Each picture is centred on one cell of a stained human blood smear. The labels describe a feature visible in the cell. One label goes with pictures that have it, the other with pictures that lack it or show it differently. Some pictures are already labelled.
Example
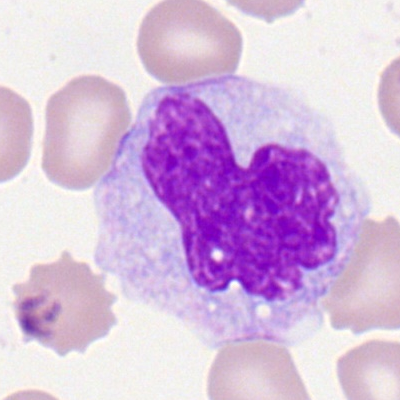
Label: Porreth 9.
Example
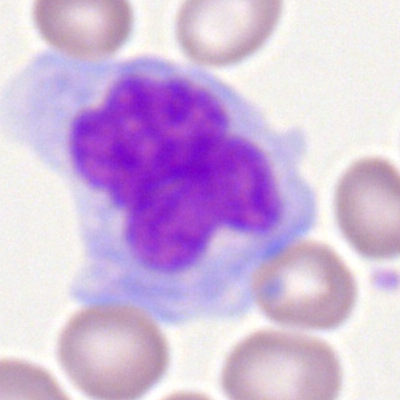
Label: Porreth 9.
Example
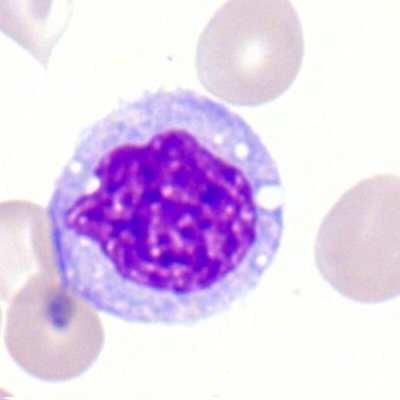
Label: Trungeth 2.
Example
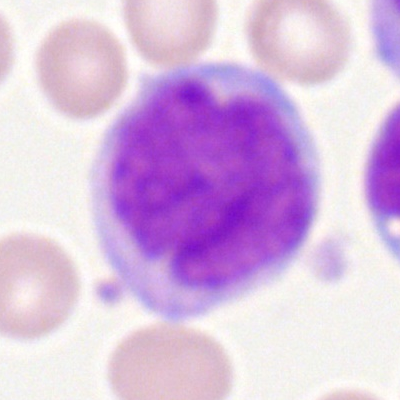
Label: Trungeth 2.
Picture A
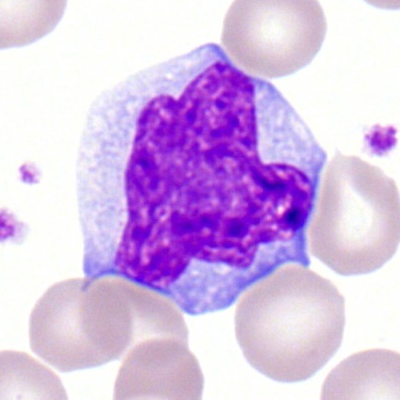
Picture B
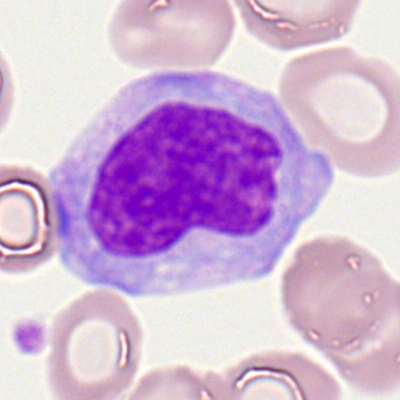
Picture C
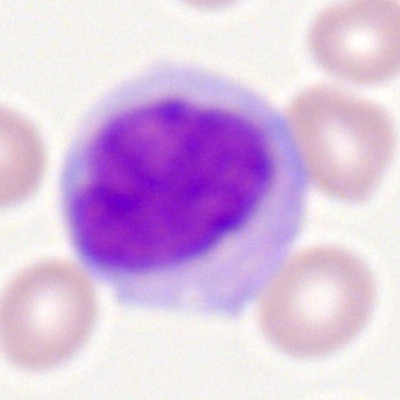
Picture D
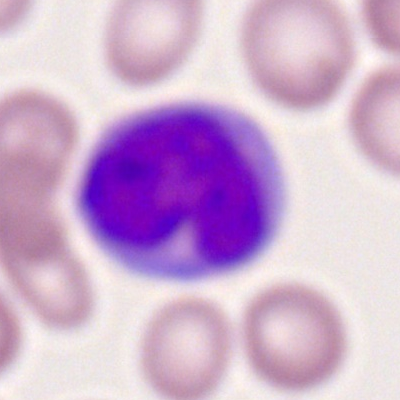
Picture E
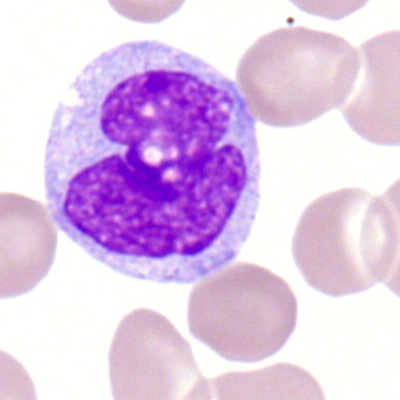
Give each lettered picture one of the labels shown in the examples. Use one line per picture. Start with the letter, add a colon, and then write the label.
A: Porreth 9.
B: Porreth 9.
C: Trungeth 2.
D: Trungeth 2.
E: Porreth 9.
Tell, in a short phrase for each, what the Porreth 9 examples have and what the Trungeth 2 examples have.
Seen in Porreth 9: abundant cytoplasm; seen in Trungeth 2: scant cytoplasm.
